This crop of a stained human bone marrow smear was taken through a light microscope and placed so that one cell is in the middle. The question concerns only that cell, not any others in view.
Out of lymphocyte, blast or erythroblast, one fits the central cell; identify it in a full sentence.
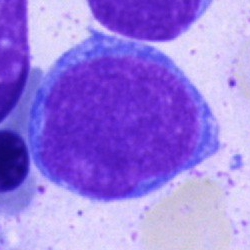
The cell positioned in the middle of the field is a blast.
